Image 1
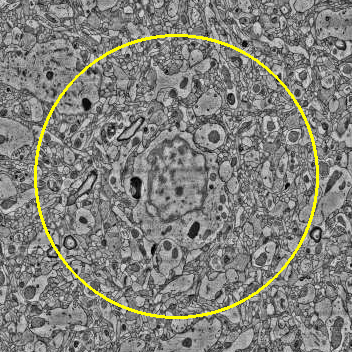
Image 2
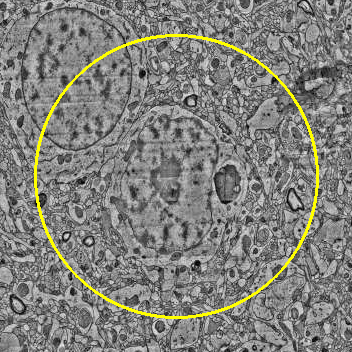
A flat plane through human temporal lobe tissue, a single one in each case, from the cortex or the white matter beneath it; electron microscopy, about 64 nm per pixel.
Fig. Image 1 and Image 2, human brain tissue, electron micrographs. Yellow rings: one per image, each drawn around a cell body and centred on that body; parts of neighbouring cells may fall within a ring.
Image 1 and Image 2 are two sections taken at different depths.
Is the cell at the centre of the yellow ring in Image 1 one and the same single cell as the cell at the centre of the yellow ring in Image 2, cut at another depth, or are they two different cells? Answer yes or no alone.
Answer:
yes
